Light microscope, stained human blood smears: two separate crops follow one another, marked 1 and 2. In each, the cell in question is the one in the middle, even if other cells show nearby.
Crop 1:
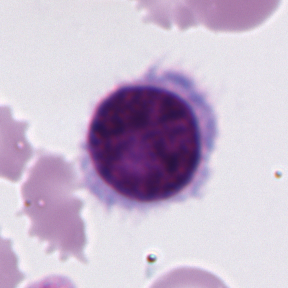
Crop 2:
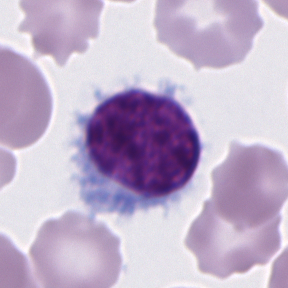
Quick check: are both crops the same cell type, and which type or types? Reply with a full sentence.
Yes, the middle cells in the two crops are hairy cells.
